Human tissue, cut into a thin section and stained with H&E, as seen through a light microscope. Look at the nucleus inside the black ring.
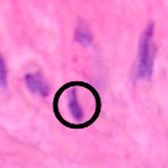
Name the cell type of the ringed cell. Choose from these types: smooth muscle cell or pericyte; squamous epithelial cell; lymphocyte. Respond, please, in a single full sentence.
Speaking plainly, the ringed cell is nothing other than a smooth muscle cell or pericyte.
